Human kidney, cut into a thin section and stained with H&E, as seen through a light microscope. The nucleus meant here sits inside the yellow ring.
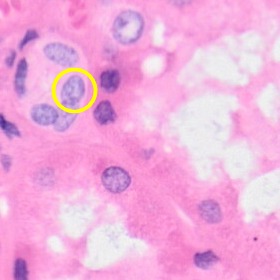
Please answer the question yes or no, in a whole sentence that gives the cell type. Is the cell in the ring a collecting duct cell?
Yes, the cell in the ring is rightly regarded as a collecting duct cell.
